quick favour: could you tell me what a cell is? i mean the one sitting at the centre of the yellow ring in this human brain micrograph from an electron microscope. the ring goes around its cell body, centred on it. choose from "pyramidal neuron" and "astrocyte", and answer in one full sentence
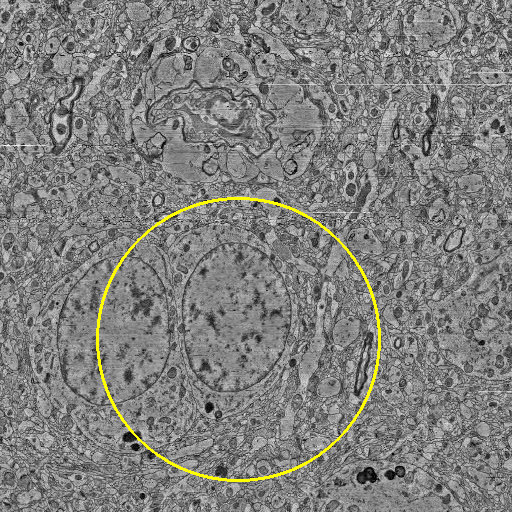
That's a pyramidal neuron, the cell sitting at the centre of the yellow ring.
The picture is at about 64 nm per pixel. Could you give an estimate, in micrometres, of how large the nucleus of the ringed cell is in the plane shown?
Roughly 10 by 7 micrometres is the size of the nucleus in this plane.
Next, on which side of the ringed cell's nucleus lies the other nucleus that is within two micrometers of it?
The second nucleus sits to the left of it.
